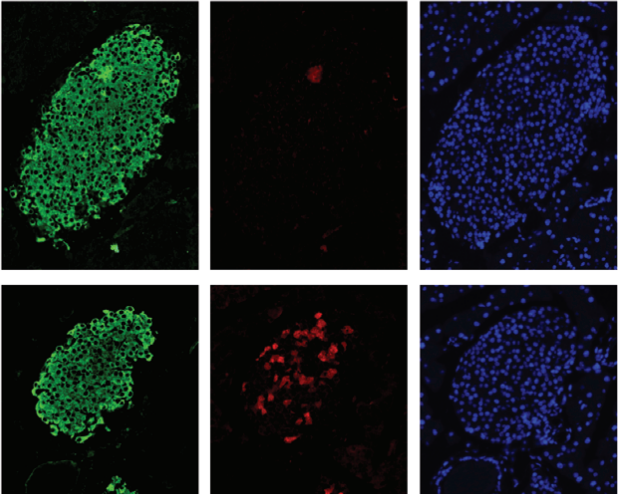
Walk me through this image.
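In the green channel, a compact, roughly oval cluster of tightly packed cells shows cytoplasmic staining, with the unstained nuclei appearing as dark holes between the stained areas. In the lower row, red staining lies in patches over many cells of the same cluster, while in the upper row there is almost no red. The blue channel shows densely packed round nuclei throughout the cluster and in the surrounding tissue.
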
